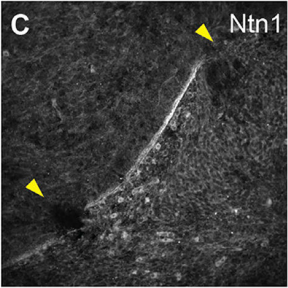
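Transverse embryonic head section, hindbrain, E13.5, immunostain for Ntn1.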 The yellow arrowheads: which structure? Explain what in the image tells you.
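Nerve roots. The bright line along the tissue edge is interrupted at both arrowheads. Dark gaps interrupt the stained tissue at the arrowheads.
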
